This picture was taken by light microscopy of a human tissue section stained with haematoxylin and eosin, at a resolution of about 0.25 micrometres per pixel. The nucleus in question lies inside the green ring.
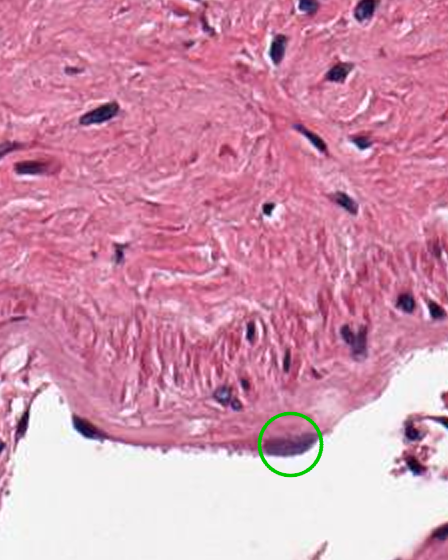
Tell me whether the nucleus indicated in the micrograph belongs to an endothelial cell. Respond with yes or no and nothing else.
yes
